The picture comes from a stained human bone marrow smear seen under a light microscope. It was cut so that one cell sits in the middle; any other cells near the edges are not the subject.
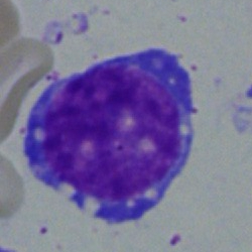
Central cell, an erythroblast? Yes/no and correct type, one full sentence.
No, at the centre of this crop is found a blast instead of an erythroblast.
